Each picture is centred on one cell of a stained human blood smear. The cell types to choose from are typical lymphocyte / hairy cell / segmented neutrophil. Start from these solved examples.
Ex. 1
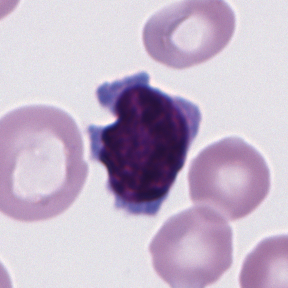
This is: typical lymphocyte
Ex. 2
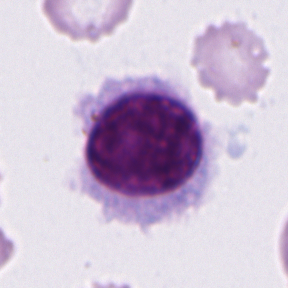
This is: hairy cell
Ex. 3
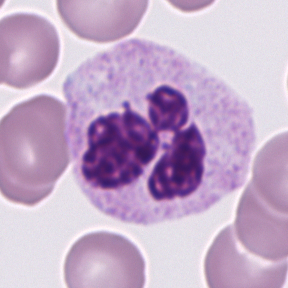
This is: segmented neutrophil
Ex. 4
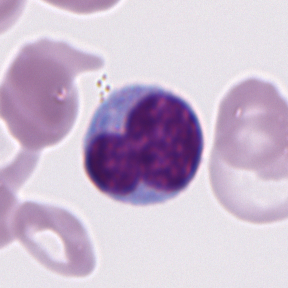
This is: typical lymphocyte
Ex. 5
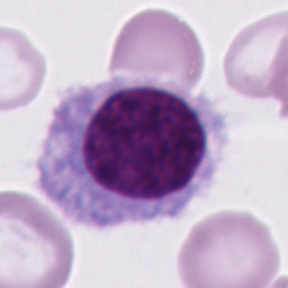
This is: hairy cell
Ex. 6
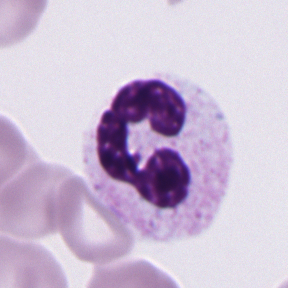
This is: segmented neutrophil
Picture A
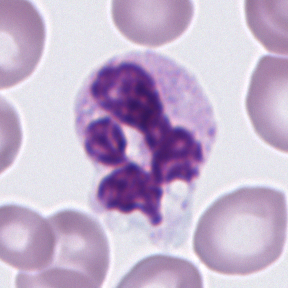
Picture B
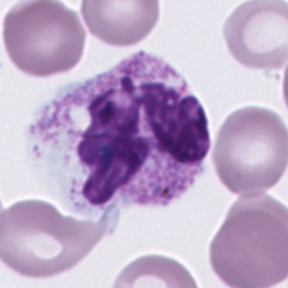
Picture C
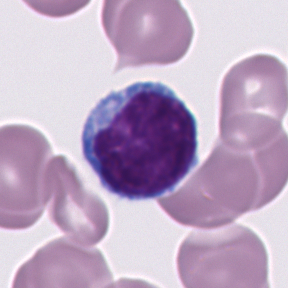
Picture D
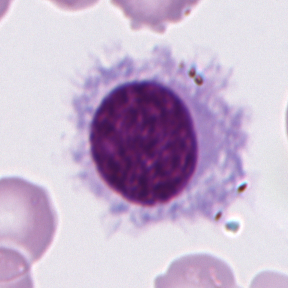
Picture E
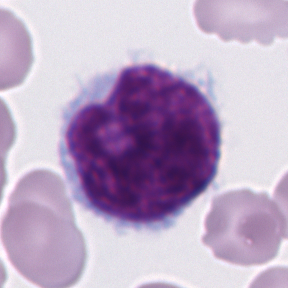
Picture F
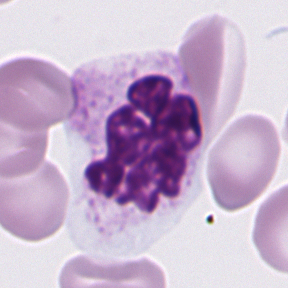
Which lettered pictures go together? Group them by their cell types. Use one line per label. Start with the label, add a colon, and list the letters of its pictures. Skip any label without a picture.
typical lymphocyte: C
hairy cell: D, E
segmented neutrophil: A, B, F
